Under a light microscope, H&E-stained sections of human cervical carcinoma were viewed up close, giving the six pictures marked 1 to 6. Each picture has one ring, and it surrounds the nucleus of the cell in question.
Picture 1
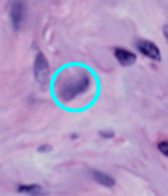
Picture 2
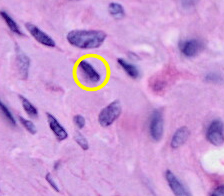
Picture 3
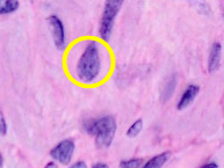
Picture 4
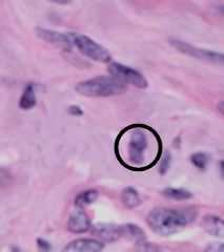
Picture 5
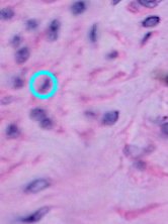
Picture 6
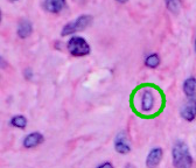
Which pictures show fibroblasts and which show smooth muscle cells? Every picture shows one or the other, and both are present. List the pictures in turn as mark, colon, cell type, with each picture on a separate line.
1: fibroblast
2: fibroblast
3: fibroblast
4: fibroblast
5: smooth muscle cell
6: smooth muscle cell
